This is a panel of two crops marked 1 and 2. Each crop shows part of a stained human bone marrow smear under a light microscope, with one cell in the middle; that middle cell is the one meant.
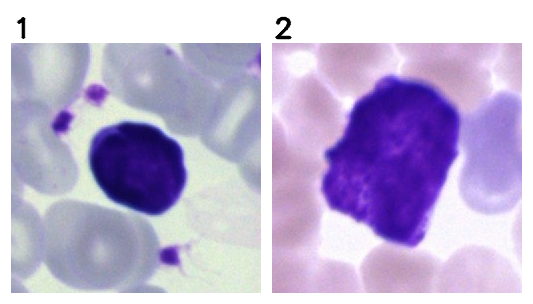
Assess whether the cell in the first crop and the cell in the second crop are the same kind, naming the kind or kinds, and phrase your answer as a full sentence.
No, crop 1 is the one with a lymphocyte; crop 2 has a blast.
